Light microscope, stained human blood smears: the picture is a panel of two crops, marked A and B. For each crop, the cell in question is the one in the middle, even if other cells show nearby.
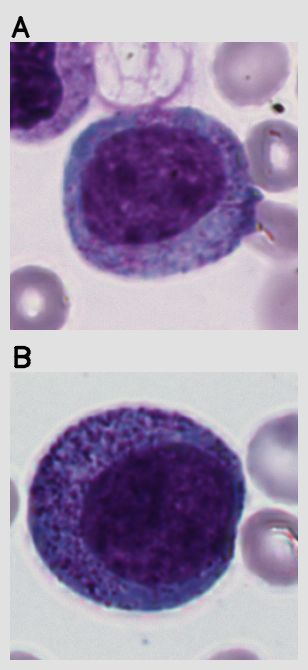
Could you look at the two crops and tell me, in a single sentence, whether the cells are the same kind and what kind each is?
Yes, both crops show promyelocytes, with no exception.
